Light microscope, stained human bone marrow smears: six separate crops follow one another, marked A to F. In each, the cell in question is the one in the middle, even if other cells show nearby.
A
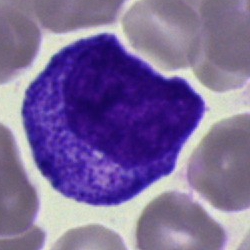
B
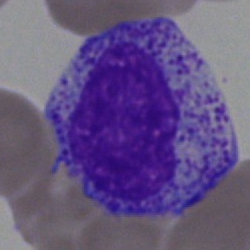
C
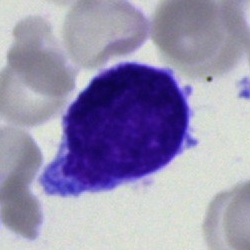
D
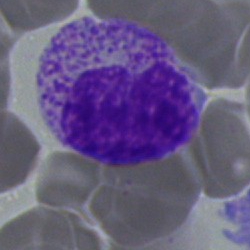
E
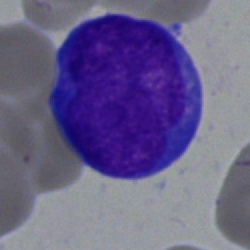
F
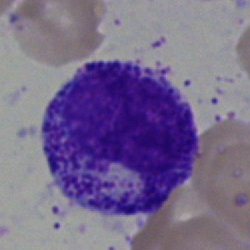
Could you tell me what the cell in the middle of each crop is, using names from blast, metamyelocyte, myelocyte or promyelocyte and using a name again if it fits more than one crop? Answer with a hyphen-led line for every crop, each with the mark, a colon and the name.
- A: promyelocyte
- B: promyelocyte
- C: blast
- D: metamyelocyte
- E: blast
- F: myelocyte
